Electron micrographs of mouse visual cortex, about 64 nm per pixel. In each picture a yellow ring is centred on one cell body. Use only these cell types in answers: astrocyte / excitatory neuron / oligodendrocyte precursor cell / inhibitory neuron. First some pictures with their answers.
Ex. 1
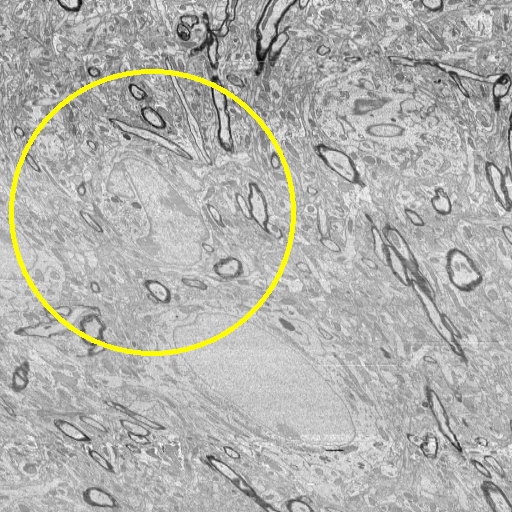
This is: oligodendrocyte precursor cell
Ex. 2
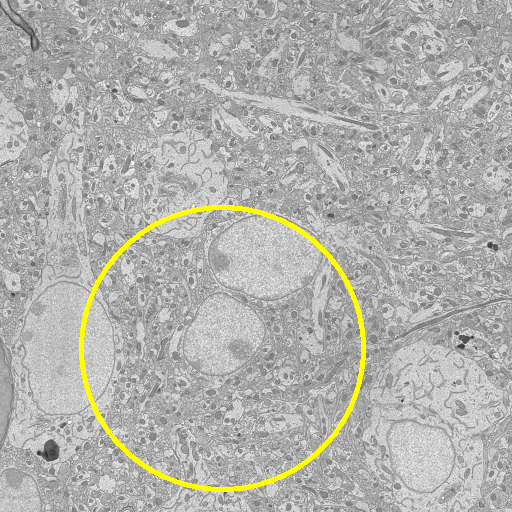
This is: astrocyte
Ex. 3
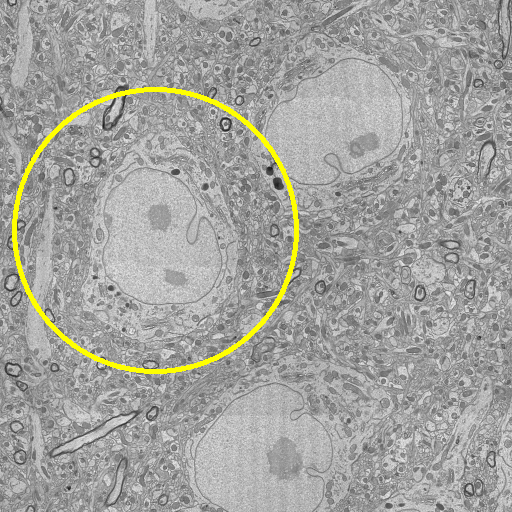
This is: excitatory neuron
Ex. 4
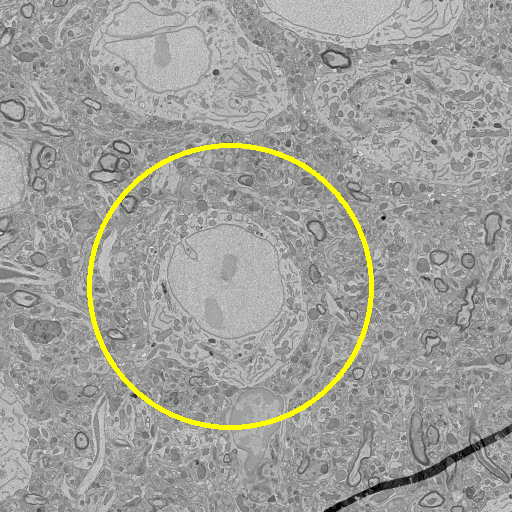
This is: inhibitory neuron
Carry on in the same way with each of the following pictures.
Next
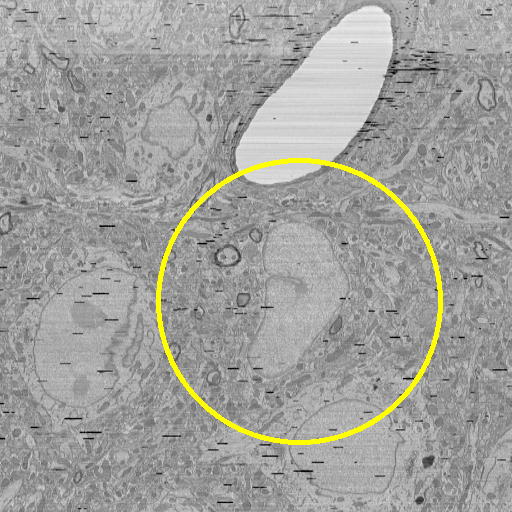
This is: astrocyte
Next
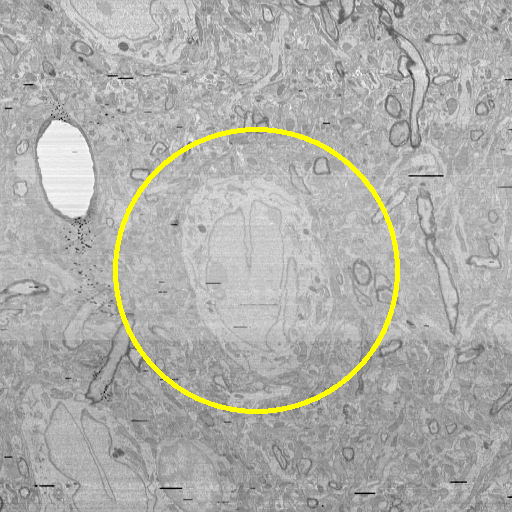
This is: excitatory neuron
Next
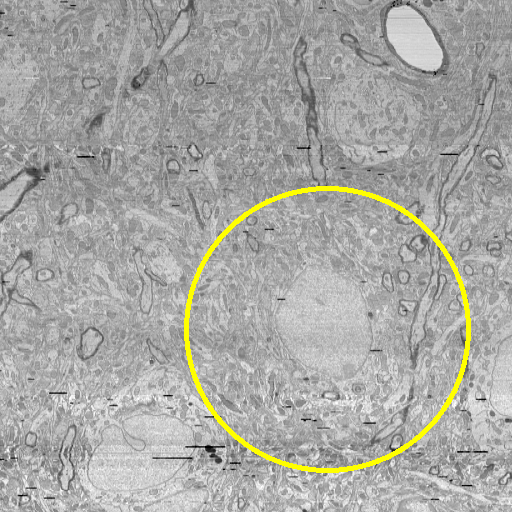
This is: astrocyte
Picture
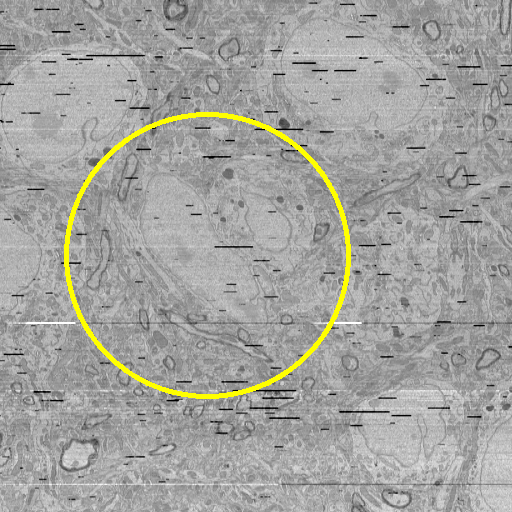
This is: oligodendrocyte precursor cell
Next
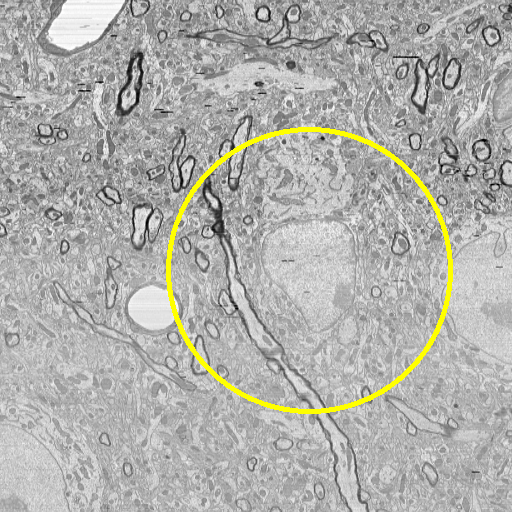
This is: astrocyte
